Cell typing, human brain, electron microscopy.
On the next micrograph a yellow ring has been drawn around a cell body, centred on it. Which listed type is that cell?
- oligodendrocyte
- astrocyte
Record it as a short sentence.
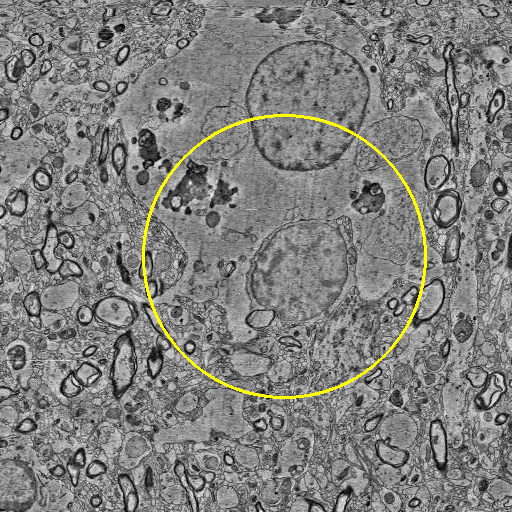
The cell body in the ring's centre belongs to an oligodendrocyte.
